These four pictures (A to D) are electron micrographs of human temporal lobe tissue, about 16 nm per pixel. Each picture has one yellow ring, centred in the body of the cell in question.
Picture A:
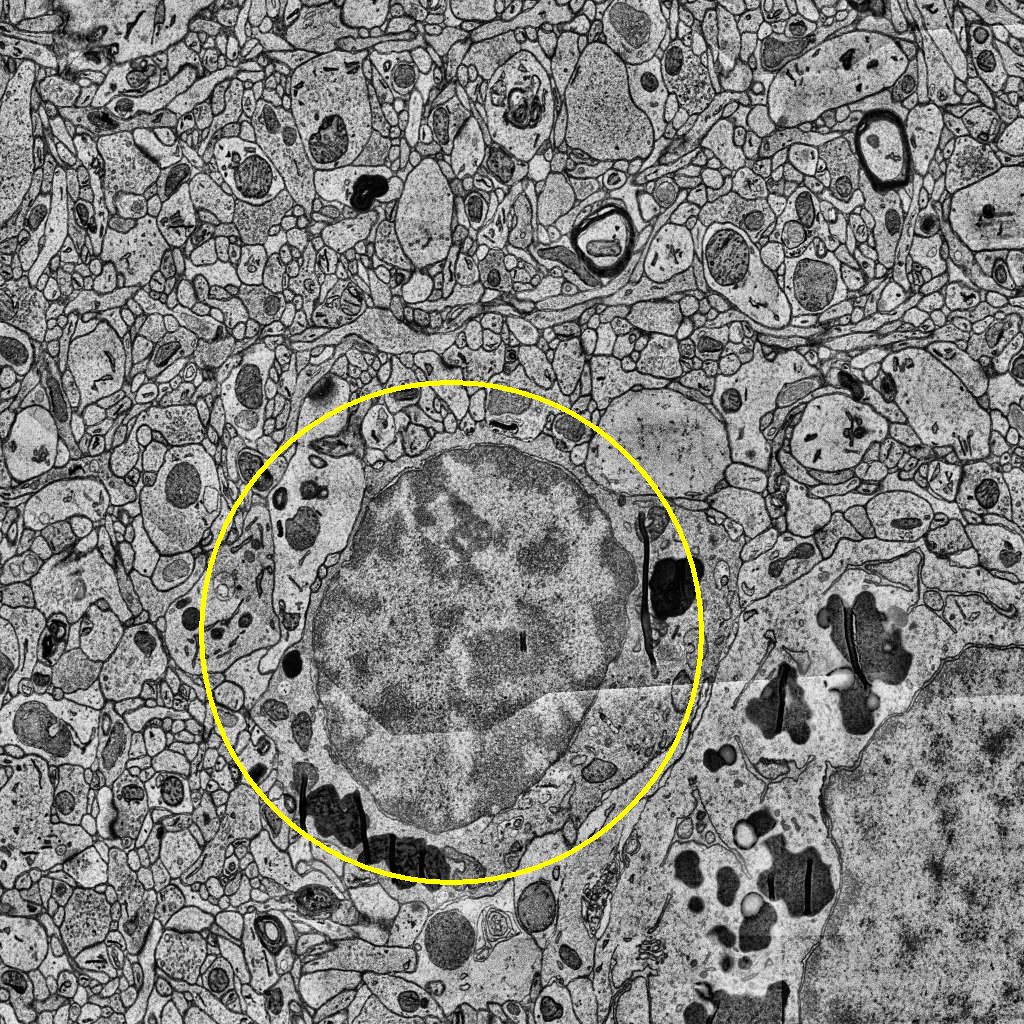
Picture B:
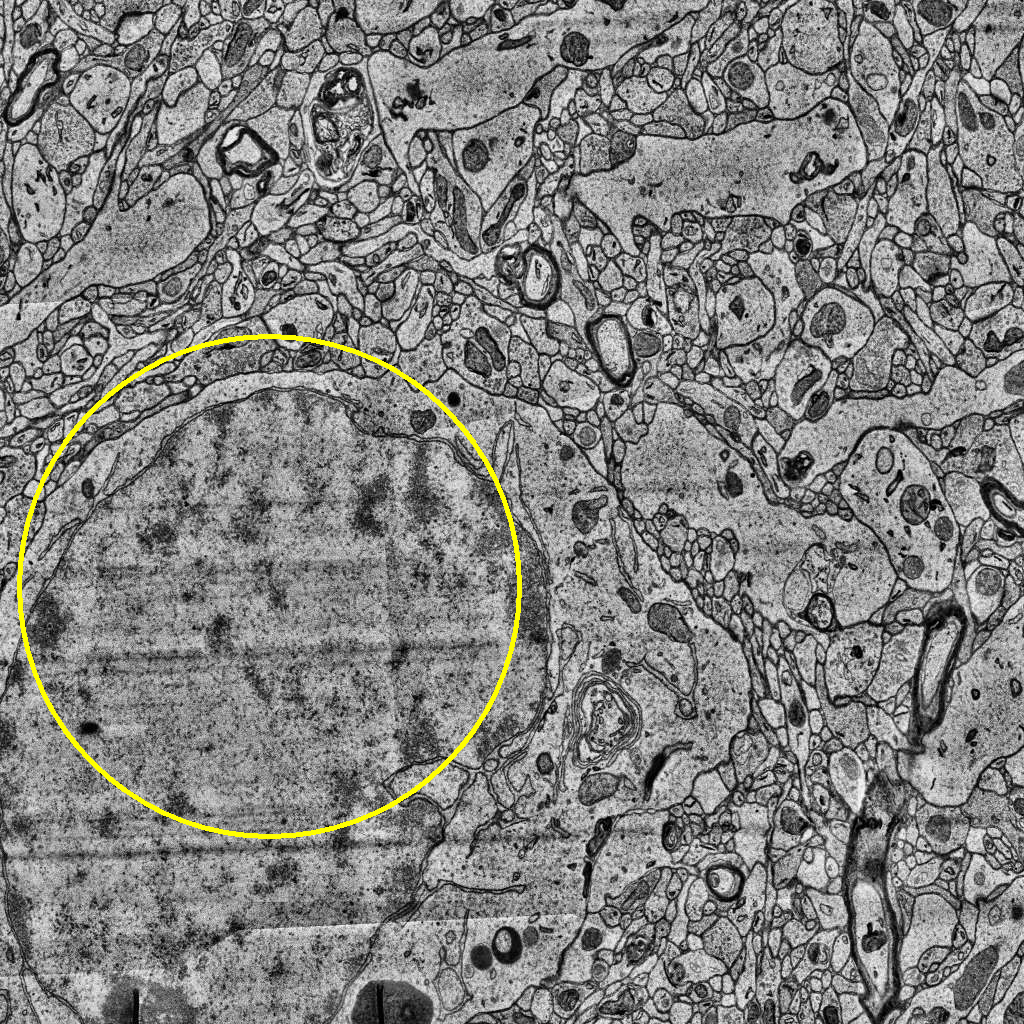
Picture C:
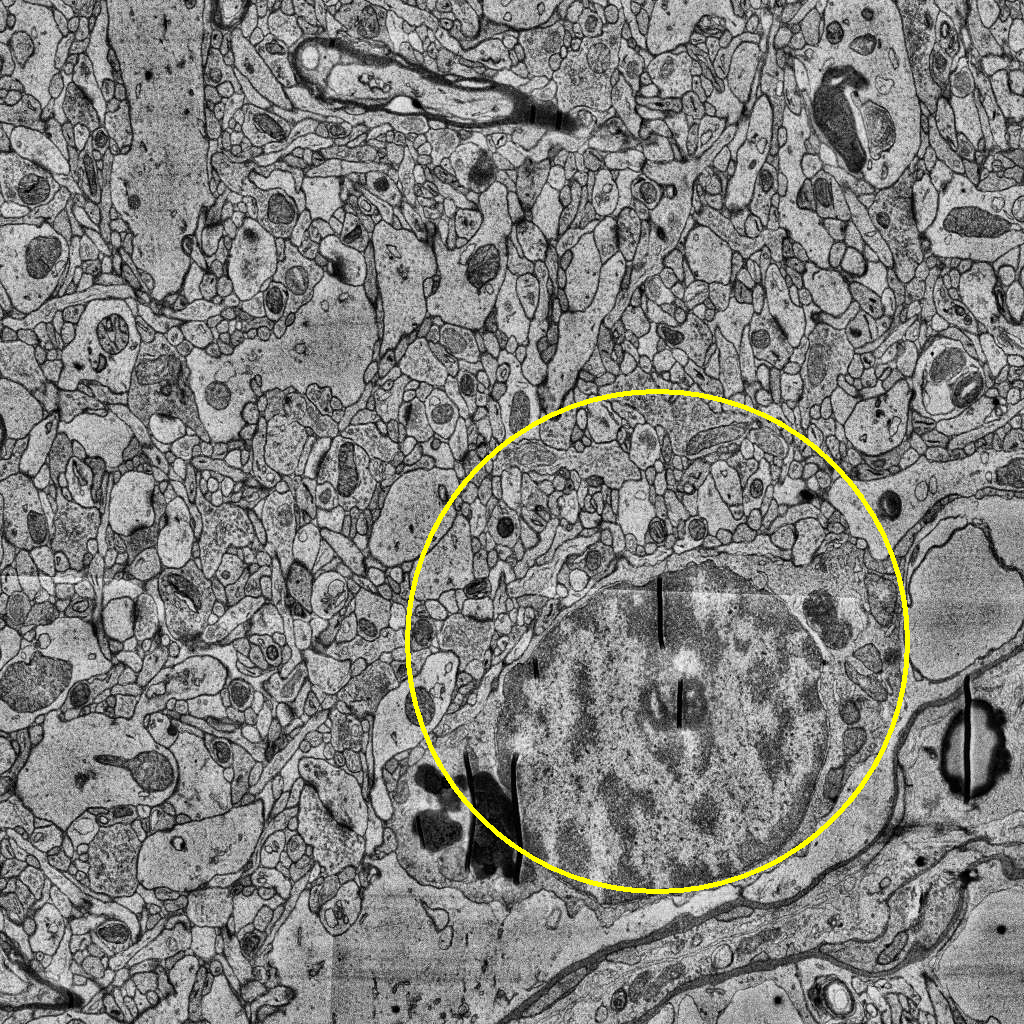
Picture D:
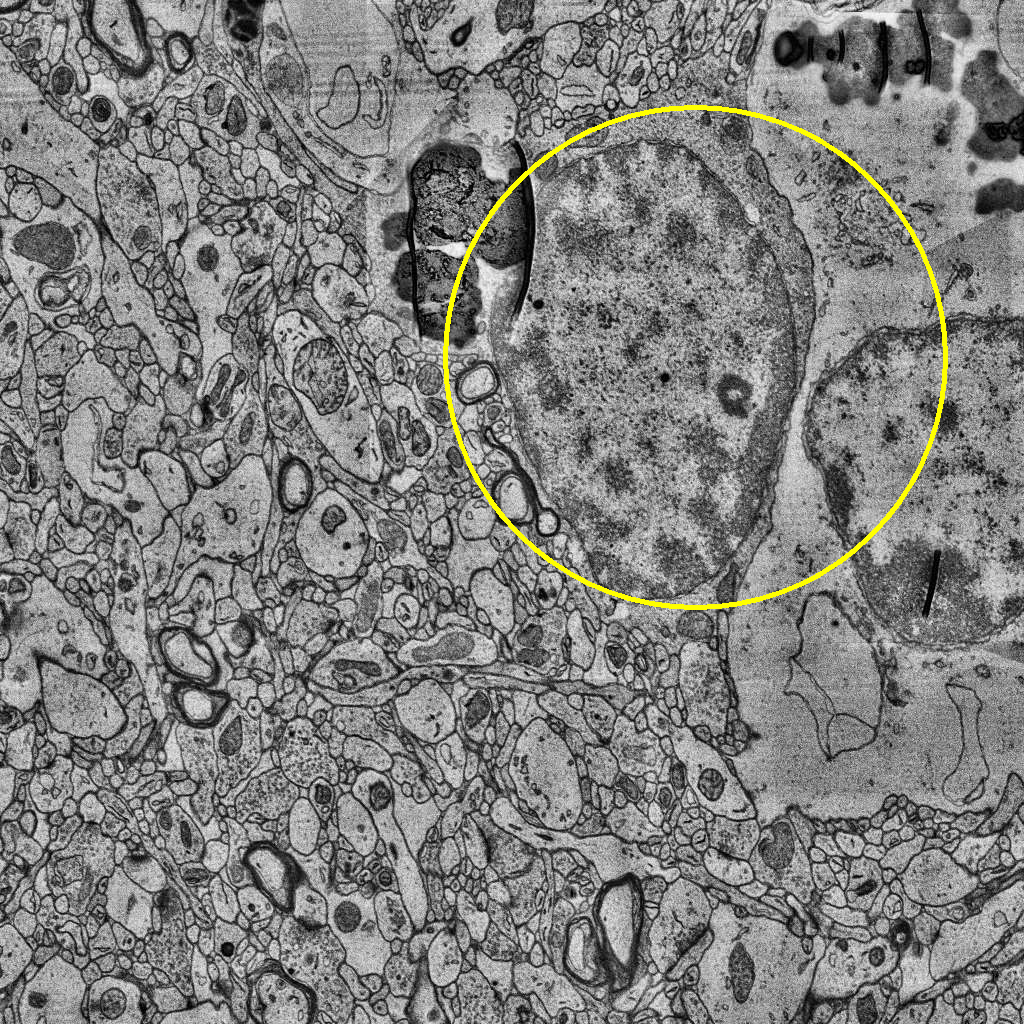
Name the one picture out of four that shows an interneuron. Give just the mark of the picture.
B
